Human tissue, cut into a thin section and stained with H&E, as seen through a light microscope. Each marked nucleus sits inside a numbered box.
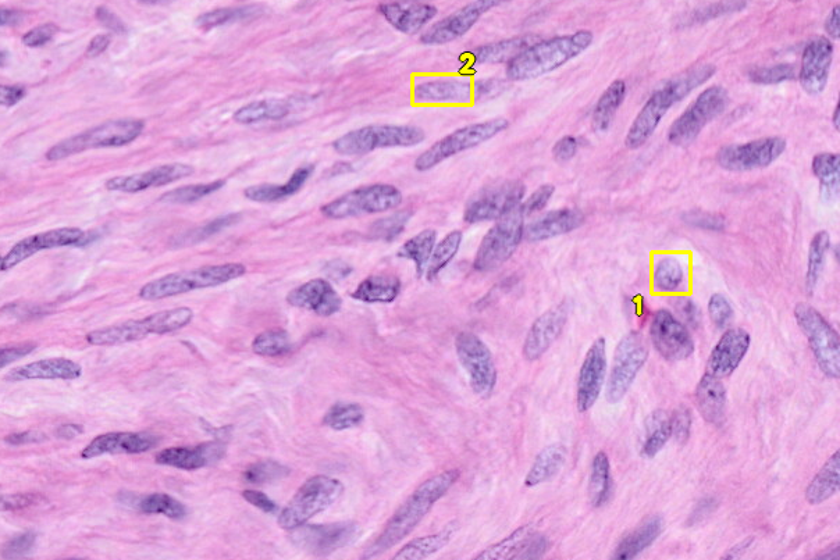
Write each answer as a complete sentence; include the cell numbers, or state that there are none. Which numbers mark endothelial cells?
Only the cell at mark 1 is an endothelial cell, and no other marked cell is.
